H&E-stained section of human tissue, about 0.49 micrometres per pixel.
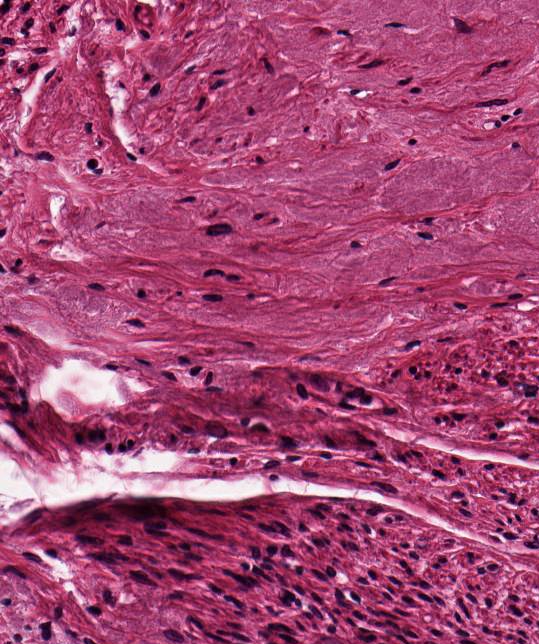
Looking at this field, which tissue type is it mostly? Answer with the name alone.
smooth muscle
